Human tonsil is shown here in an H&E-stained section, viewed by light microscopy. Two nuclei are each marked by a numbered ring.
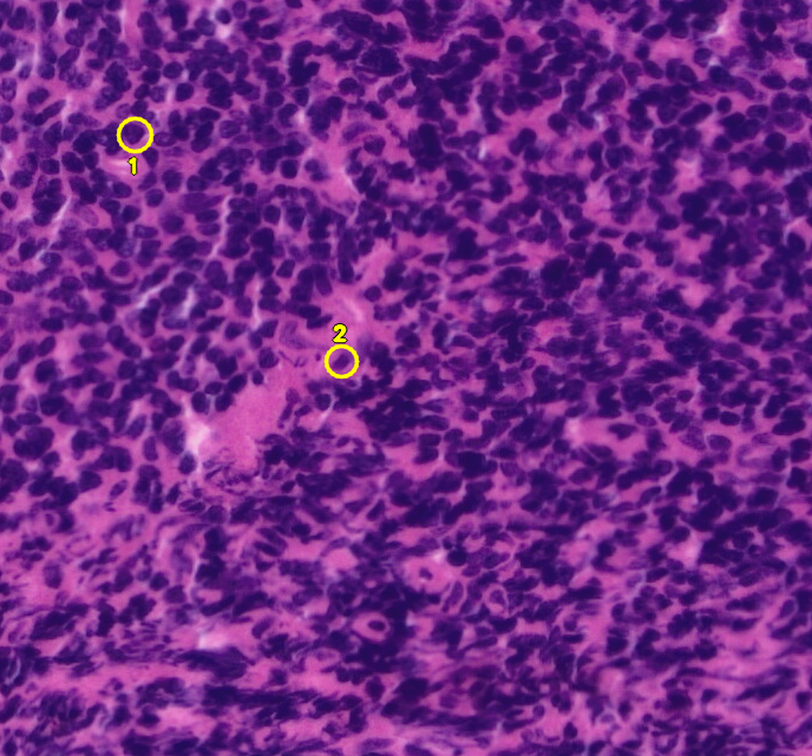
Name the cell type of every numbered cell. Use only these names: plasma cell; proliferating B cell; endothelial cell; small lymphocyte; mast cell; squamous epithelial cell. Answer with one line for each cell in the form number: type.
1: small lymphocyte
2: endothelial cell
